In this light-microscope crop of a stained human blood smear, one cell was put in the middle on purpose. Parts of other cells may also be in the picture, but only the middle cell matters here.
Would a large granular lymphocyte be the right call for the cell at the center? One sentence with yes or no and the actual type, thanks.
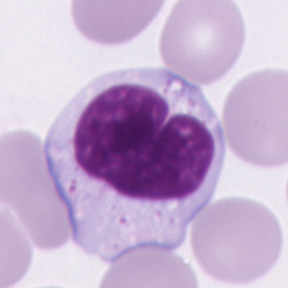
Yes, the cell shown at the crop's centre is a large granular lymphocyte.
